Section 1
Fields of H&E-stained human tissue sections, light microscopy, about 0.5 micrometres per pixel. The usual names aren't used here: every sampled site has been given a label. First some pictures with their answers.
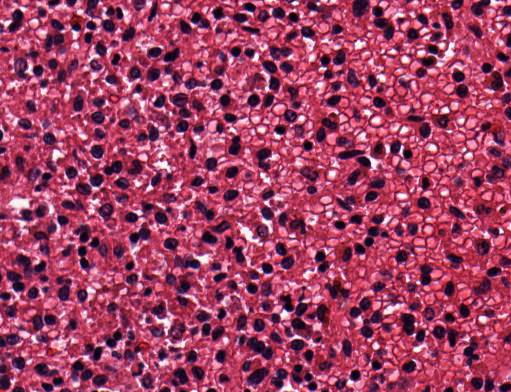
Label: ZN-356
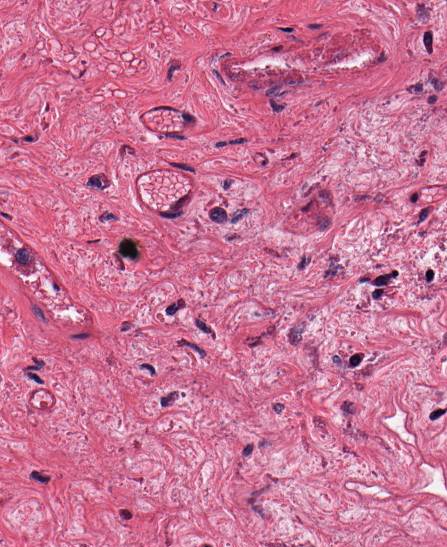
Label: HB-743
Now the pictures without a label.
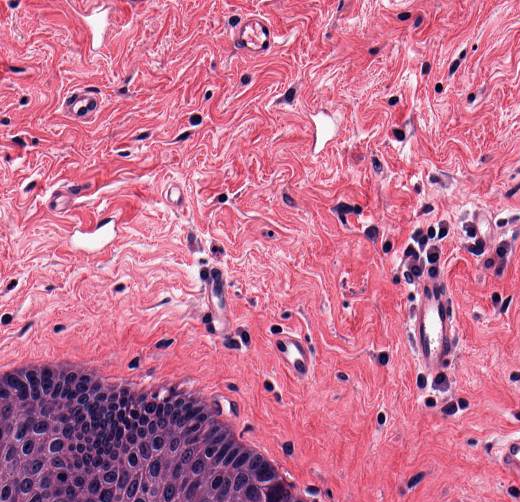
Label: HB-743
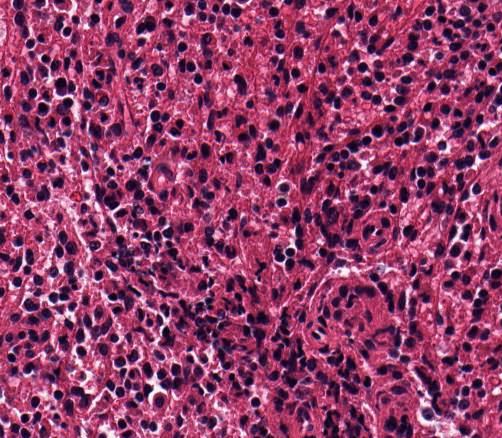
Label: ZN-356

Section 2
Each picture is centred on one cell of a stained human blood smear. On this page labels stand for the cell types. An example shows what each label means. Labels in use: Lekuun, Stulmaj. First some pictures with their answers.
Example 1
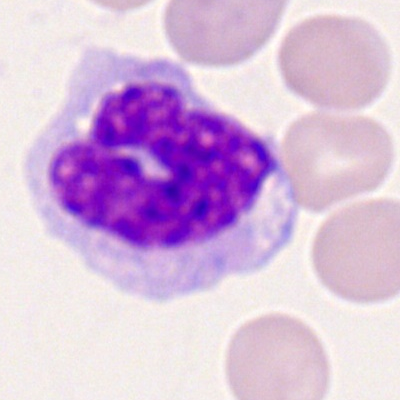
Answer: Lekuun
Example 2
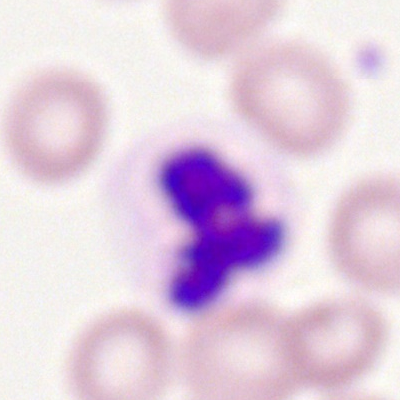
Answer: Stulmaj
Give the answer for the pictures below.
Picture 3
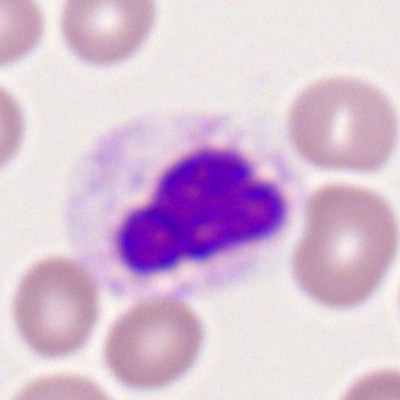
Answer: Stulmaj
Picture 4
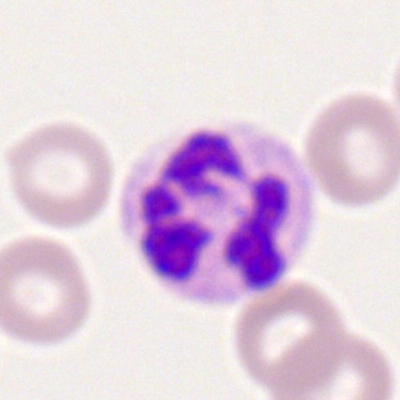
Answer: Stulmaj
